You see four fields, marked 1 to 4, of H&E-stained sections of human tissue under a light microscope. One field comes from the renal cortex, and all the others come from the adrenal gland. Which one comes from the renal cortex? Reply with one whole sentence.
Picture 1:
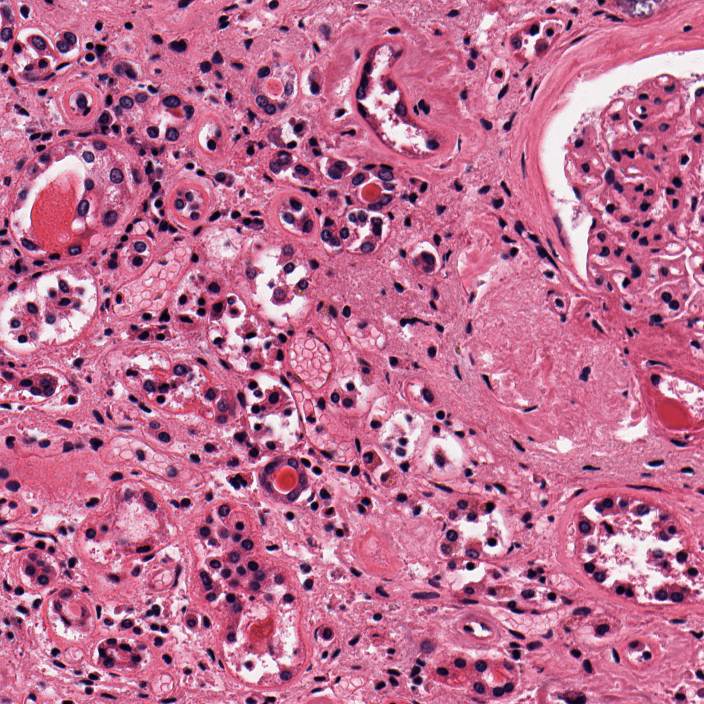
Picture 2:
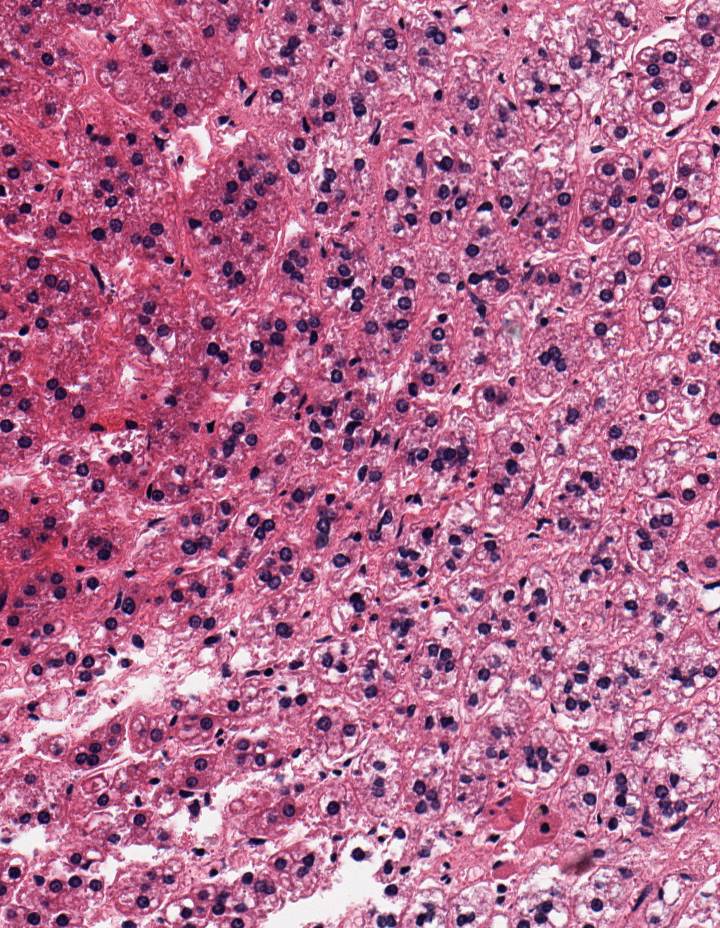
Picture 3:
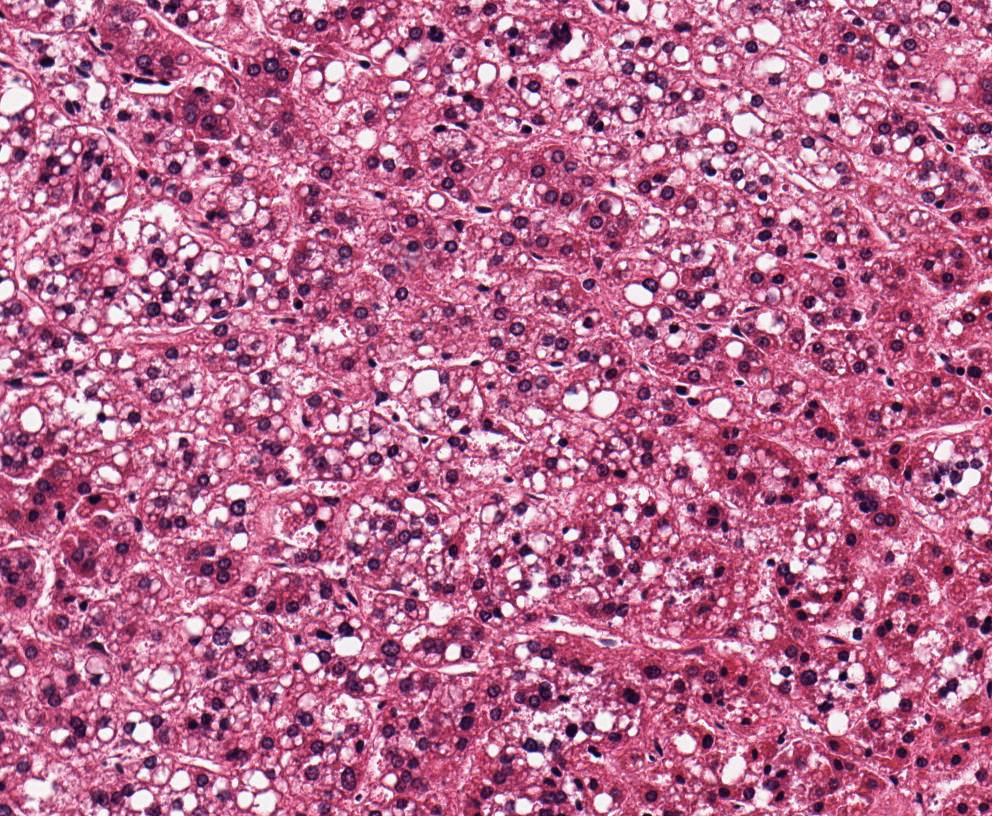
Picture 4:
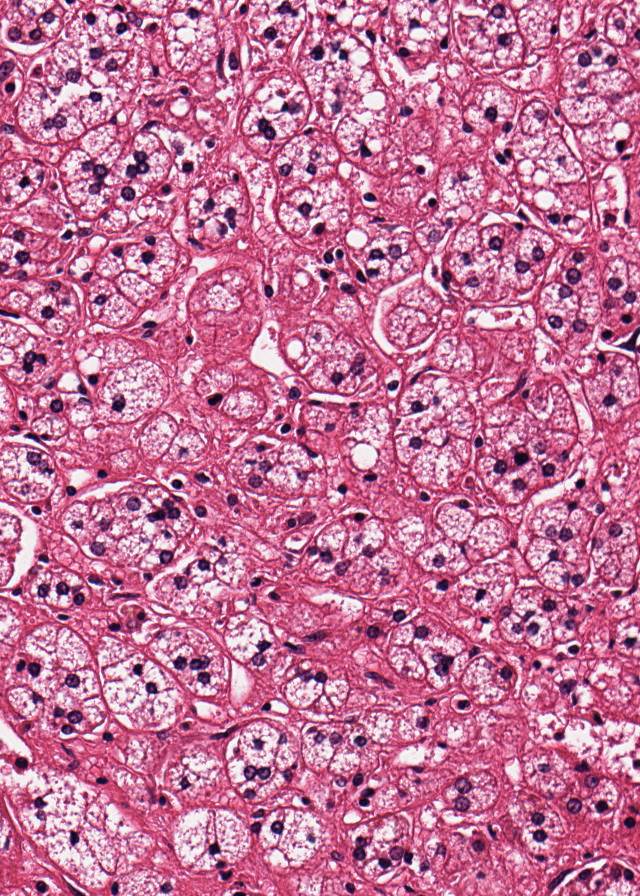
It is picture 1 that comes from the renal cortex.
